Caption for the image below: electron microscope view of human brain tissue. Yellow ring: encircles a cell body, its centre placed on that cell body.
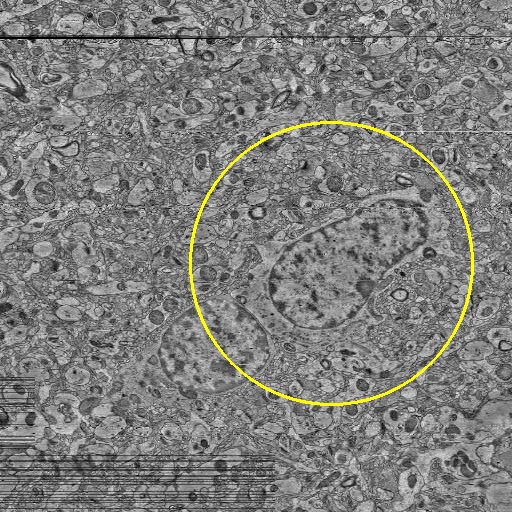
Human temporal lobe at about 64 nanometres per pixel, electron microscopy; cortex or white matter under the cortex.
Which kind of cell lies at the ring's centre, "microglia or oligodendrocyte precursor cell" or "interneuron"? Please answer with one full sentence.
The picture shows a microglial cell or oligodendrocyte precursor cell at the centre of the yellow ring.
